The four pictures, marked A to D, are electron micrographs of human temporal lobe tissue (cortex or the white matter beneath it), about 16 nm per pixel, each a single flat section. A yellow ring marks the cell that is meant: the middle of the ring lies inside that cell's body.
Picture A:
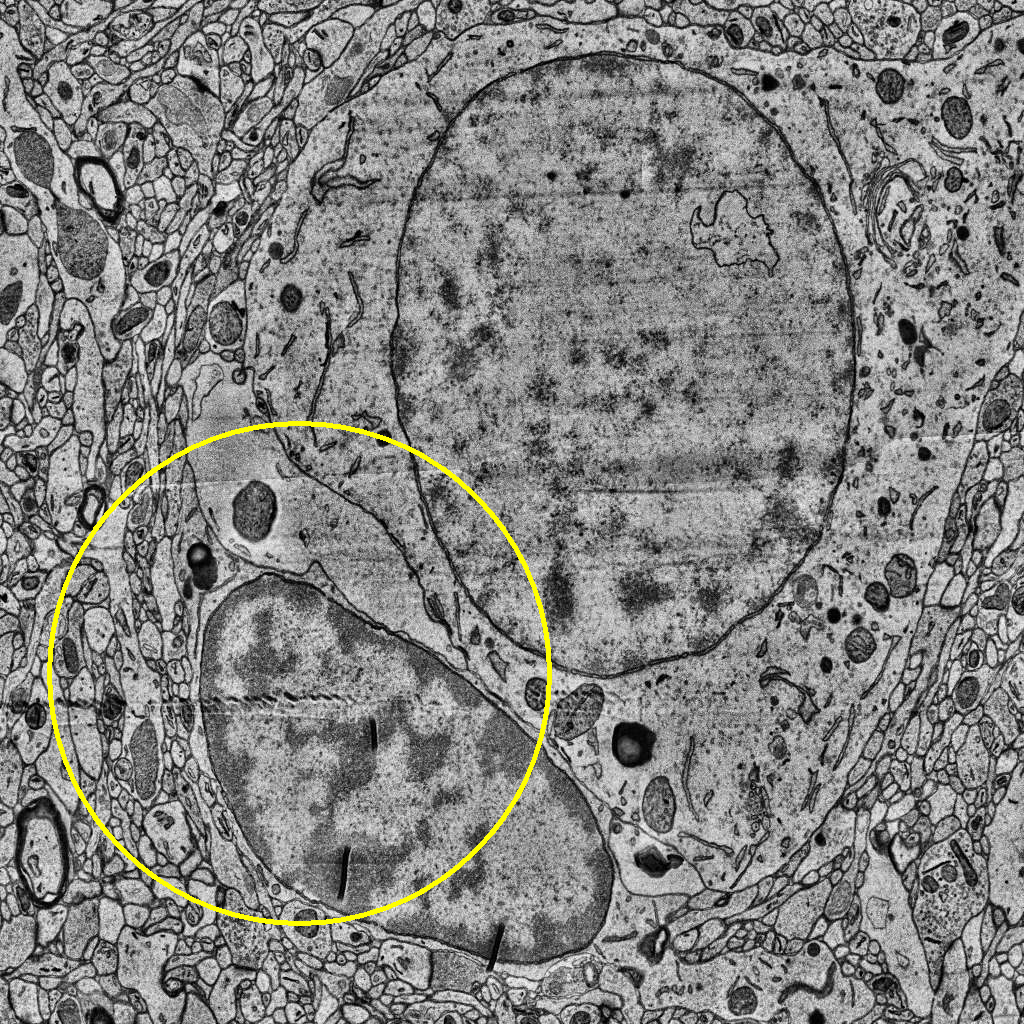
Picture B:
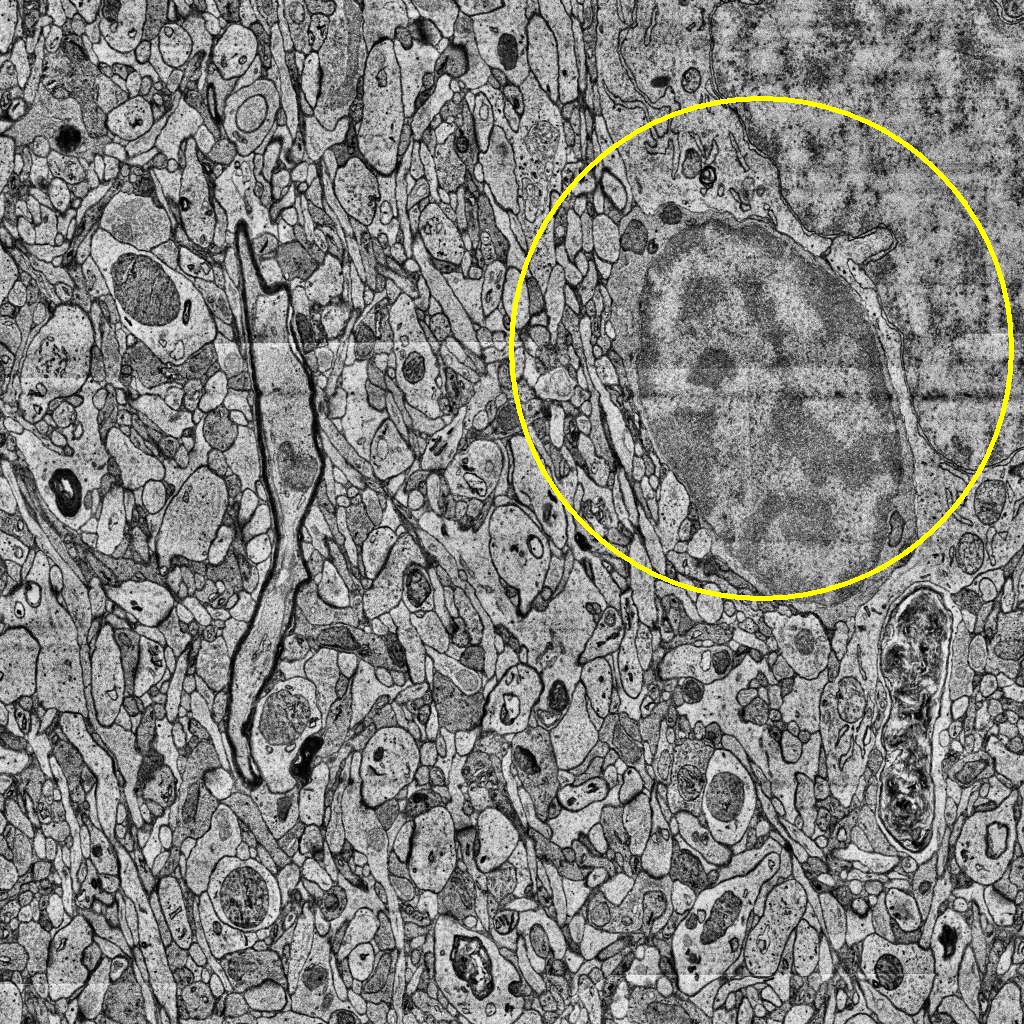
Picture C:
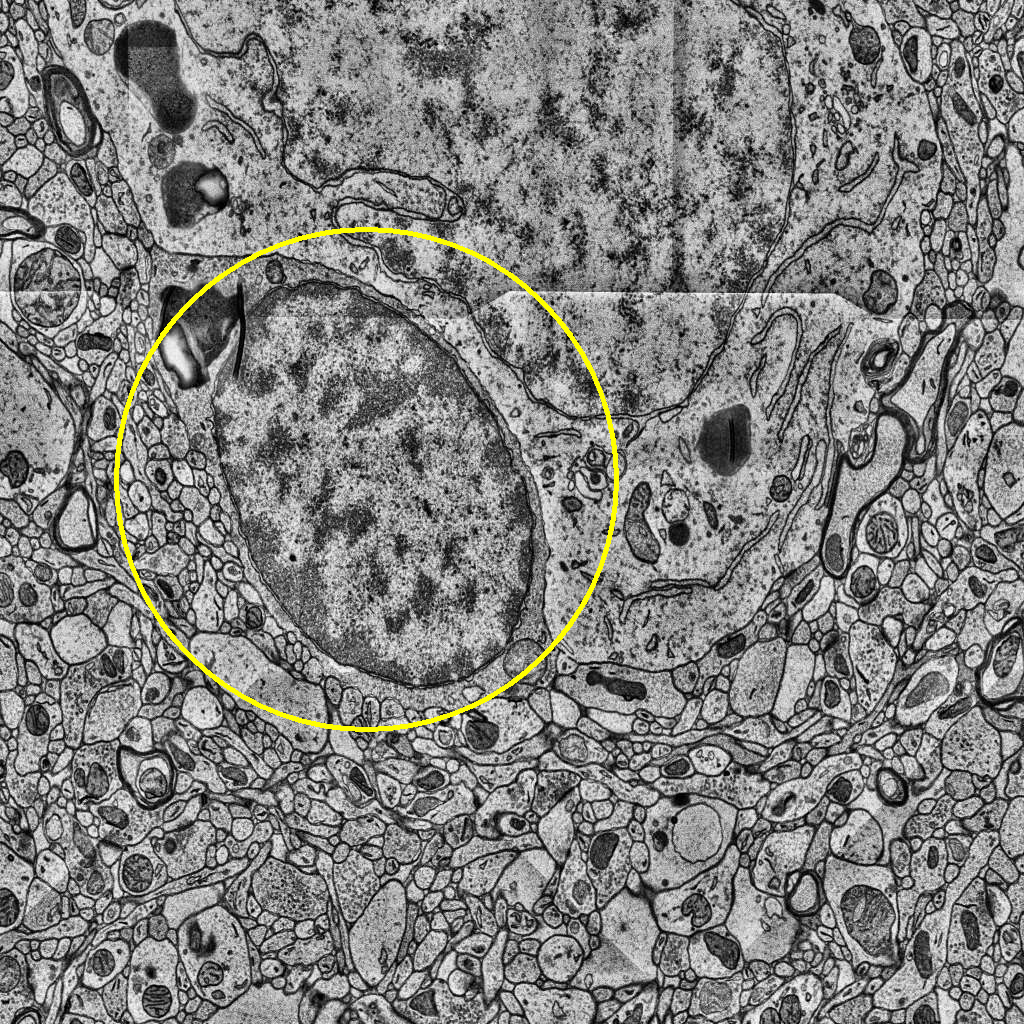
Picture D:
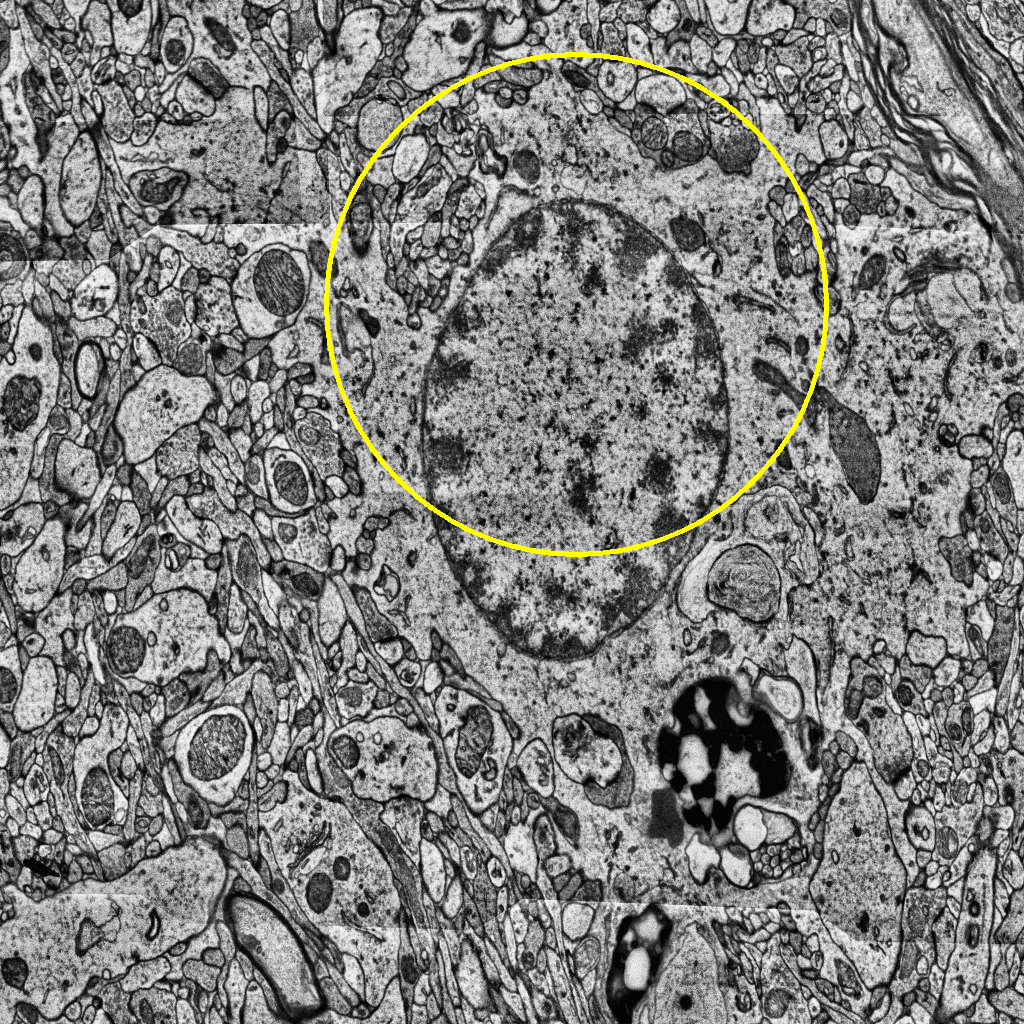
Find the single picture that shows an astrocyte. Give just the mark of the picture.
D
